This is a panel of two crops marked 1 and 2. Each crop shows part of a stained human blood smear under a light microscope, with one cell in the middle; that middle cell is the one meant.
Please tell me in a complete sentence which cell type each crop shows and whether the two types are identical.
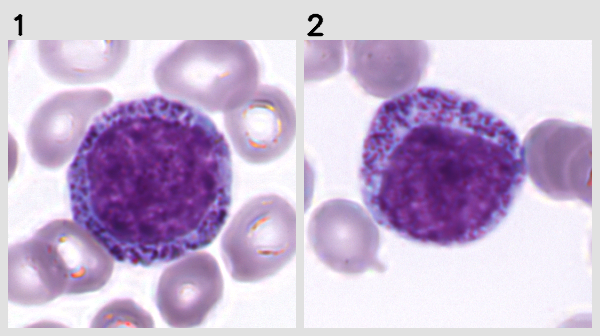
No, the assignment should read crop 1, a promyelocyte; crop 2, a myelocyte.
